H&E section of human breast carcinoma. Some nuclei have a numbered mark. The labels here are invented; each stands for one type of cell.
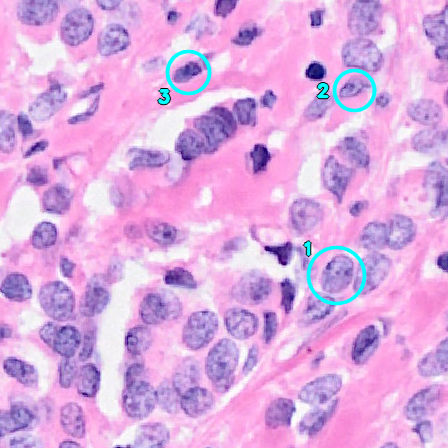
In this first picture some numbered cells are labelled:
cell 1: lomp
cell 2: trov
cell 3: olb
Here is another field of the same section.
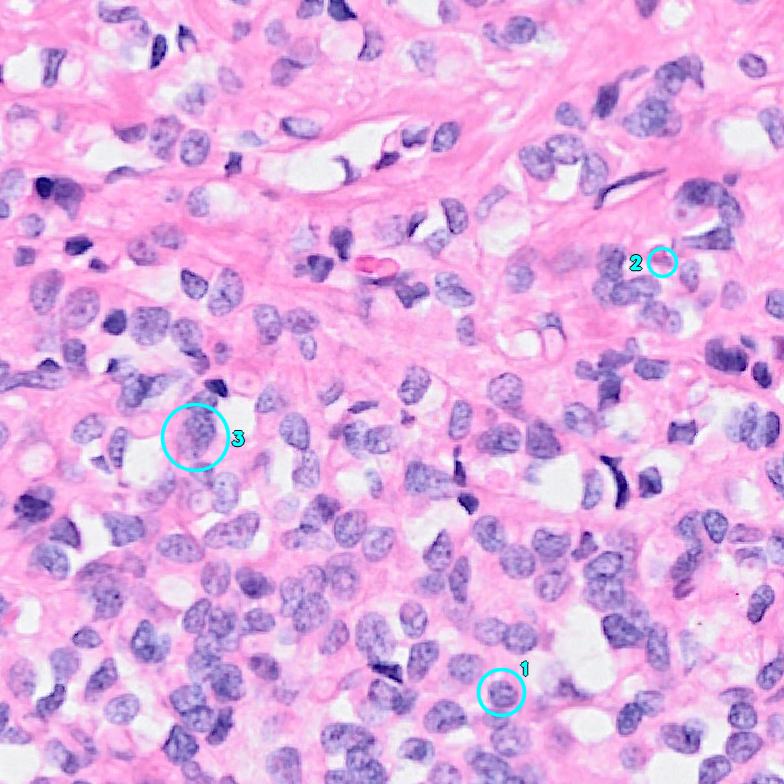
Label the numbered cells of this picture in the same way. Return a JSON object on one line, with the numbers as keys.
{"1": "lomp", "2": "trov", "3": "lomp"}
